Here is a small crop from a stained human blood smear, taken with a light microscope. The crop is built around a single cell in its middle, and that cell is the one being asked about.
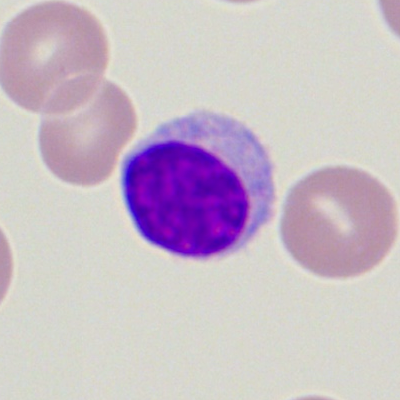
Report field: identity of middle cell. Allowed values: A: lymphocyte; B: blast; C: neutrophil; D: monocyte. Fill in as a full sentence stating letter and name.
The cell positioned centrally is a lymphocyte, as given in option A, which is correct.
